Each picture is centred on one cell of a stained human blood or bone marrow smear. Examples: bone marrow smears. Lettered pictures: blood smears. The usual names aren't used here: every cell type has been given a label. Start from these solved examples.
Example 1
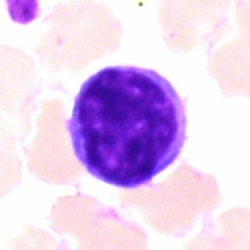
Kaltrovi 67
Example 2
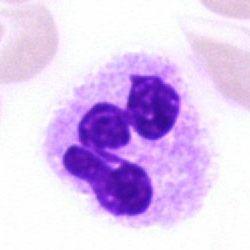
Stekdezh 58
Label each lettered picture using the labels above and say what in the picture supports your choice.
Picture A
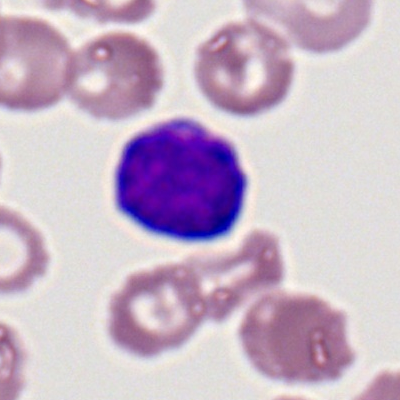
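Kaltrovi 67. Evidence: Any cytoplasm forms only a very thin rim that is scarcely visible.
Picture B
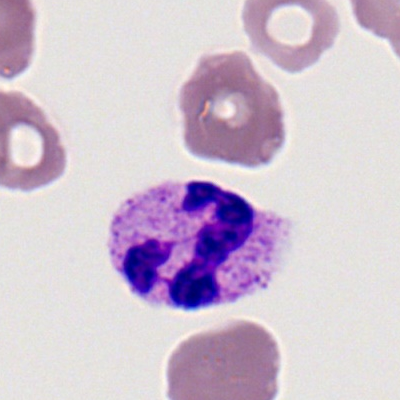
Stekdezh 58. Evidence: The nucleus is divided into several lobes.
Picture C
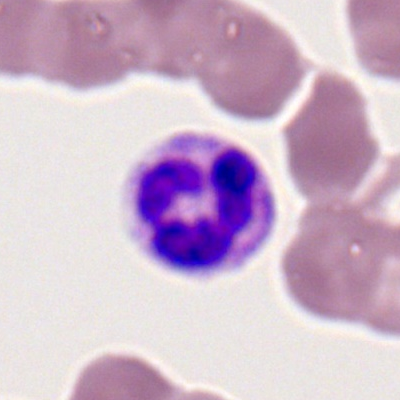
Stekdezh 58. Evidence: The nucleus is divided into several connected lobes.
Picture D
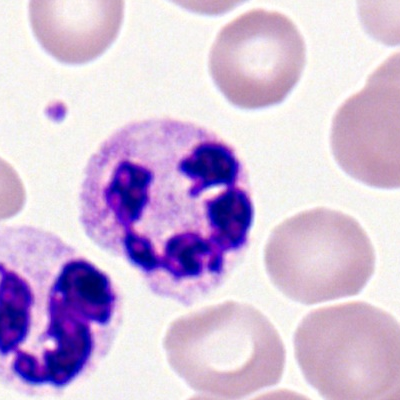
Stekdezh 58. Evidence: The cytoplasm is plentiful and pale pinkish-lilac.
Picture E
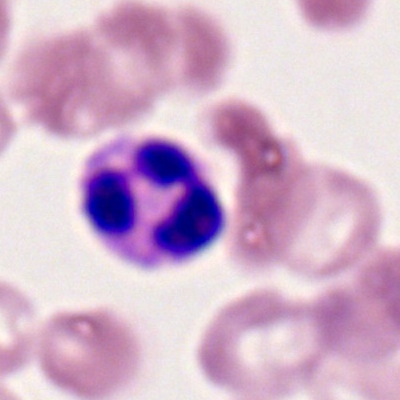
Stekdezh 58. Evidence: The nucleus is divided into three separate lobes.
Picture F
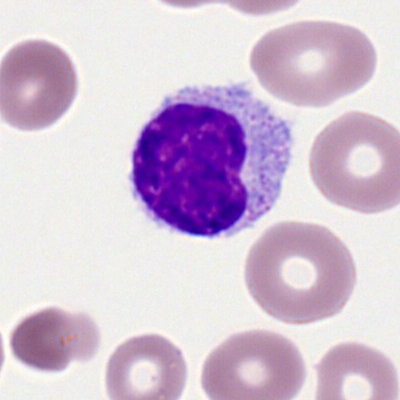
Kaltrovi 67. Evidence: The nucleus has a single notch on its right side, giving it a kidney shape.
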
